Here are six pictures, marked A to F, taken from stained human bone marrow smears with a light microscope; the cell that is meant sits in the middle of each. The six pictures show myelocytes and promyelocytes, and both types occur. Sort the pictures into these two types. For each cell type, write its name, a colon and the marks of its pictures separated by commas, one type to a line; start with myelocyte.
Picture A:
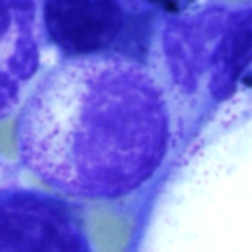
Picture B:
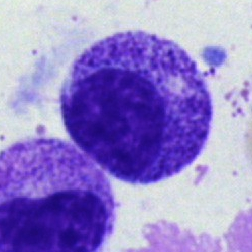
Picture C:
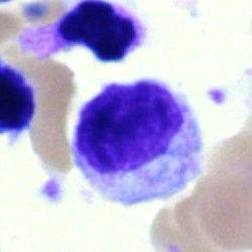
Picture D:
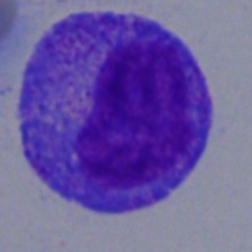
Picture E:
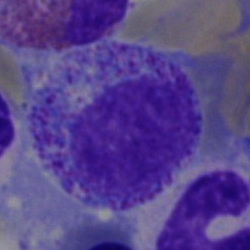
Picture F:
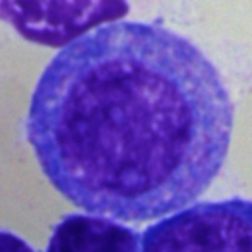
myelocyte: A, B, C, E
promyelocyte: D, F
